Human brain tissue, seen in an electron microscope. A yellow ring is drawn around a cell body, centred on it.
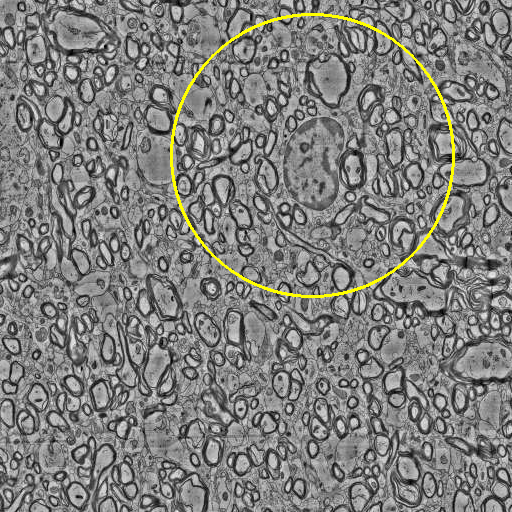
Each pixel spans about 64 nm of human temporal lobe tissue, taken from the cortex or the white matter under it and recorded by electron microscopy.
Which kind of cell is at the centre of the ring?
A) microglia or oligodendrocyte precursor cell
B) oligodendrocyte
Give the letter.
A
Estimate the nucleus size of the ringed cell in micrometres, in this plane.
Roughly 6 micrometres by 4 micrometres, in this plane.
